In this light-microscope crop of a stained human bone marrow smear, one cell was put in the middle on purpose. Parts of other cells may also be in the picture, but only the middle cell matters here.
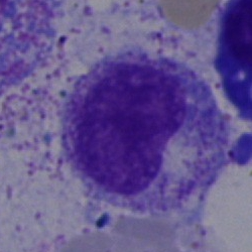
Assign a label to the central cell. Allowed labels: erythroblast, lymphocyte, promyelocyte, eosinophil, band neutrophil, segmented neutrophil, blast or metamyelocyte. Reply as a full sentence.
The cell in the middle of this crop is a metamyelocyte.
